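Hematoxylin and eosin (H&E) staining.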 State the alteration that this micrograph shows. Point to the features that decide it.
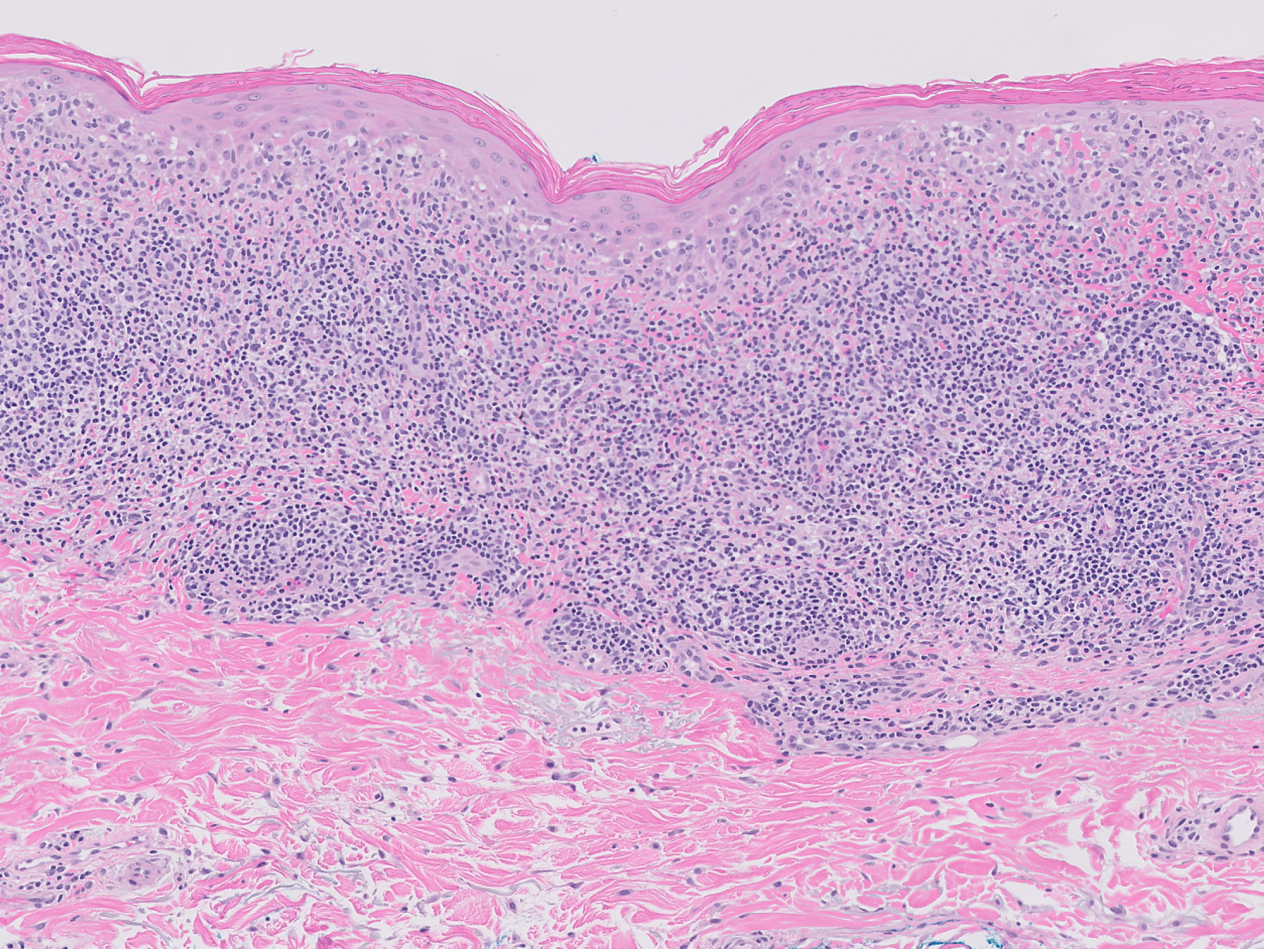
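Band-like infiltrate of lymphocytes. A dense band of small, dark, round nuclei lies directly beneath the epidermis. The band runs the whole width of the section and has a fairly sharp lower border against pink collagen. The infiltrate blurs the border between epidermis and dermis.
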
